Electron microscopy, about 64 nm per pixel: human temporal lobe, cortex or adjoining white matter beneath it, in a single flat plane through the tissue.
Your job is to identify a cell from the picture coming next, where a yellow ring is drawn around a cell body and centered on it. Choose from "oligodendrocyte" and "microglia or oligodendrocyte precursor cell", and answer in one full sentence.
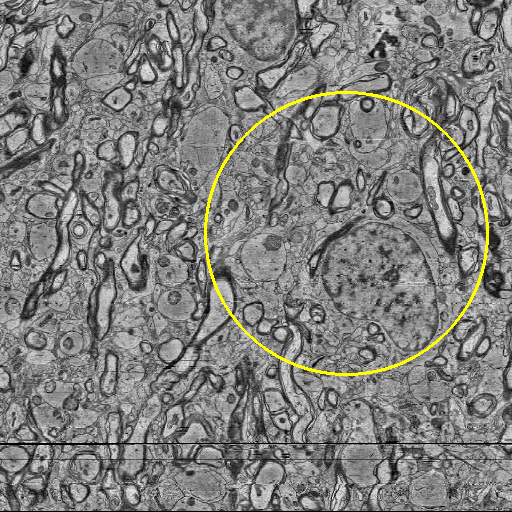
Centered in the yellow ring of the picture is the body of a microglial cell or oligodendrocyte precursor cell.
